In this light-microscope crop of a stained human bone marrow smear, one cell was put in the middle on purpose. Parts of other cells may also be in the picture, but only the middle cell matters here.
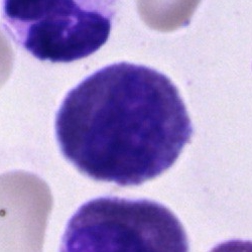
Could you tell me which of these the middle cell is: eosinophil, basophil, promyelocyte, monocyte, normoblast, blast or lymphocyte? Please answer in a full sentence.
Centred in the crop is an eosinophil.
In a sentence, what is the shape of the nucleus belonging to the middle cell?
Key feature: a single compact nucleus, round, oval or kidney-shaped.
